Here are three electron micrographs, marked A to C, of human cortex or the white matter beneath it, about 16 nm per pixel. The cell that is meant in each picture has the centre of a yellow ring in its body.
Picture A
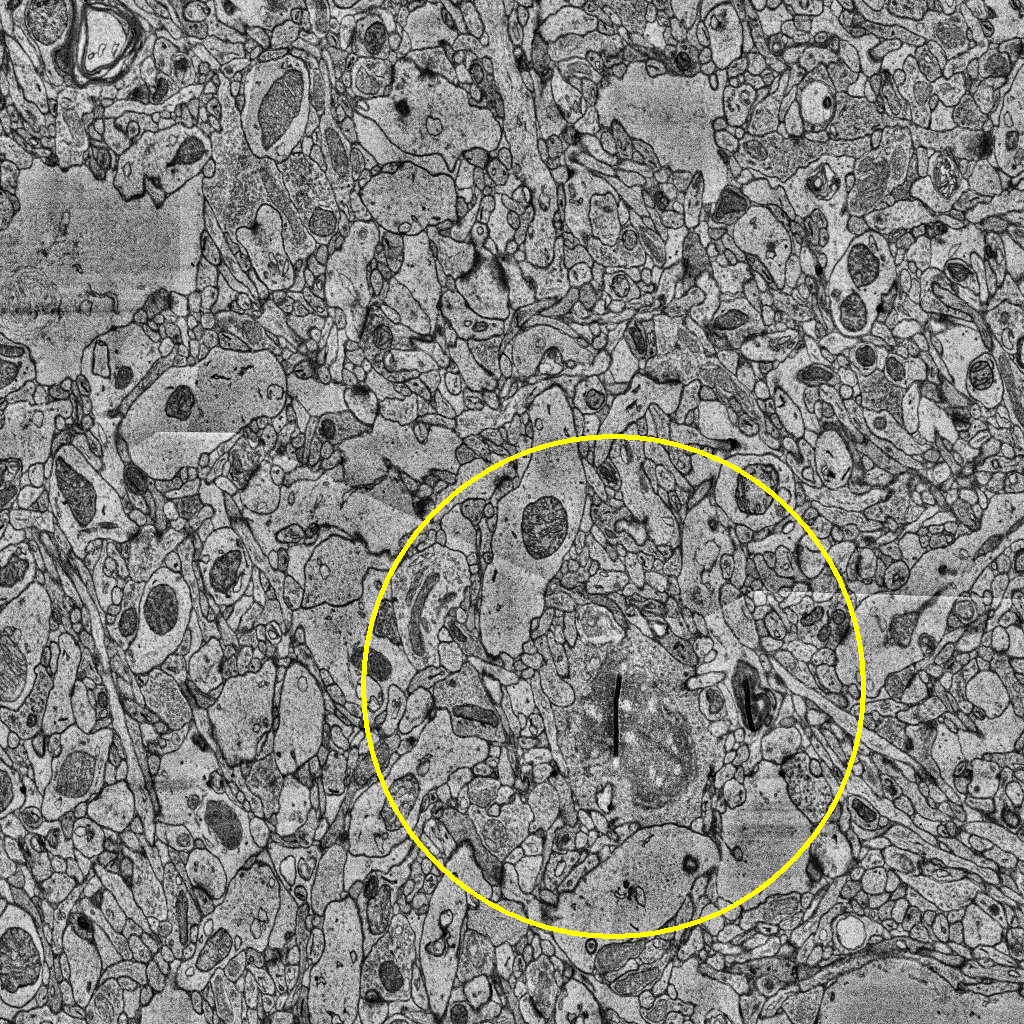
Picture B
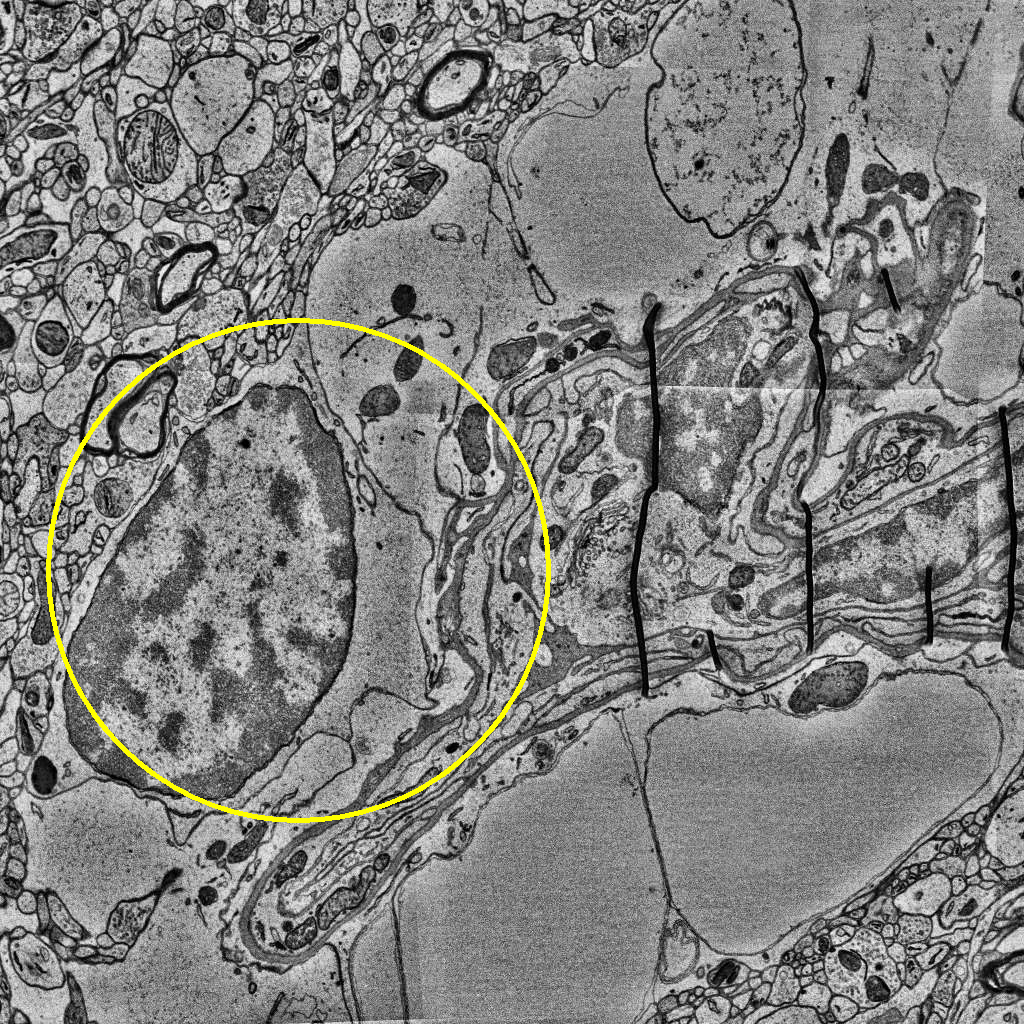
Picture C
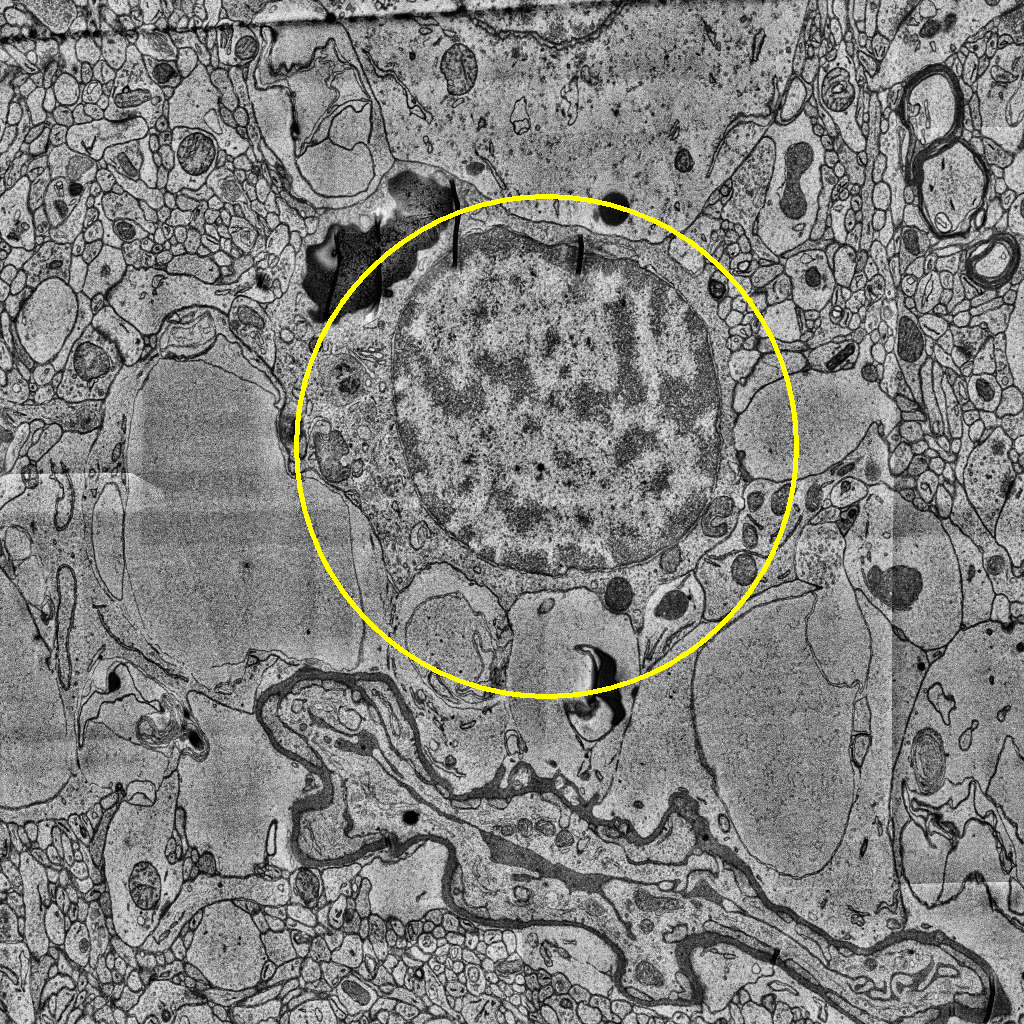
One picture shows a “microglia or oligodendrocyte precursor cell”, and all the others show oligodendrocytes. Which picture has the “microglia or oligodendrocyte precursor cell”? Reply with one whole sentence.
Picture B is the one that shows the “microglia or oligodendrocyte precursor cell”.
